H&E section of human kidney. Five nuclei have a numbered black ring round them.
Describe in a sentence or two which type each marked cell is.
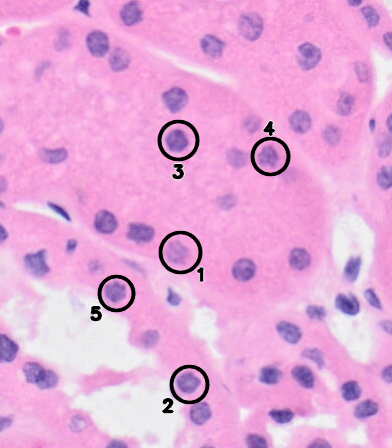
Cell 1 is a proximal tubule cell, cell 2 is a loop of Henle or distal tubule cell, cell 3 is a proximal tubule cell, cell 4 is a proximal tubule cell and cell 5 is a loop of Henle or distal tubule cell.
